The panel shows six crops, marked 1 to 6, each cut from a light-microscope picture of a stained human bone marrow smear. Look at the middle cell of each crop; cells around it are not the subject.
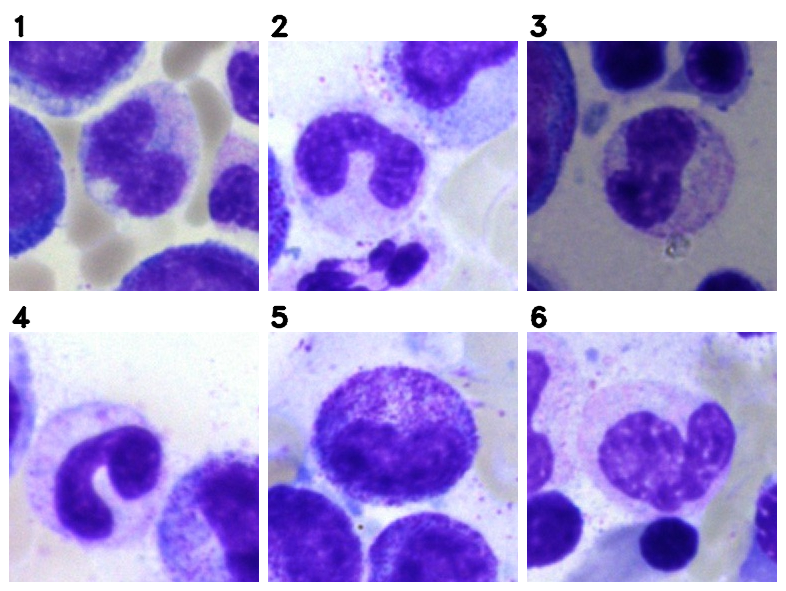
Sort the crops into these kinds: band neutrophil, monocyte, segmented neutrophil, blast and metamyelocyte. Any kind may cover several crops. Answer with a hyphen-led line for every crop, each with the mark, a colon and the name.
- 1: monocyte
- 2: band neutrophil
- 3: band neutrophil
- 4: band neutrophil
- 5: metamyelocyte
- 6: metamyelocyte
